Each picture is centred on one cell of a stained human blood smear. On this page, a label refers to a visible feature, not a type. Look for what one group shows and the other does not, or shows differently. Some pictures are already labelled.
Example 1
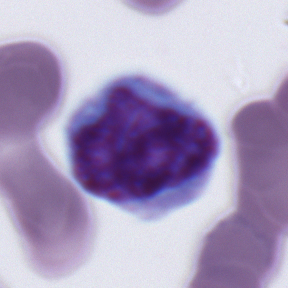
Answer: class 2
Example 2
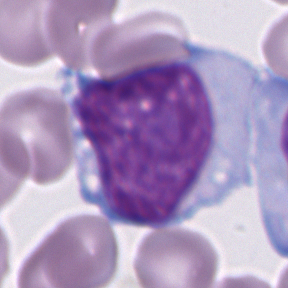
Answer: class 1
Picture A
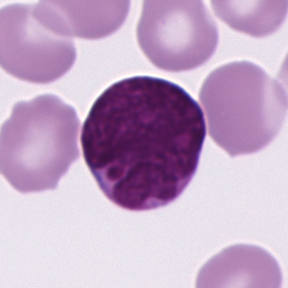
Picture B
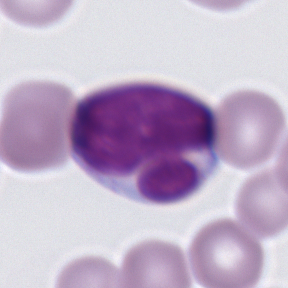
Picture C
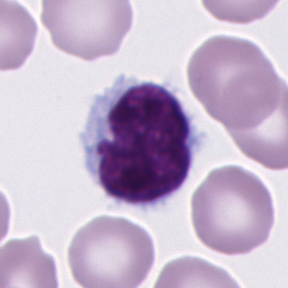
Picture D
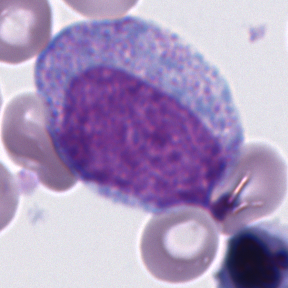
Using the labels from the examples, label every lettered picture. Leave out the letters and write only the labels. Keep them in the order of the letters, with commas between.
class 2, class 2, class 2, class 1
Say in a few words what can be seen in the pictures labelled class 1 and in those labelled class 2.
class 1: abundant cytoplasm; class 2: scant cytoplasm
